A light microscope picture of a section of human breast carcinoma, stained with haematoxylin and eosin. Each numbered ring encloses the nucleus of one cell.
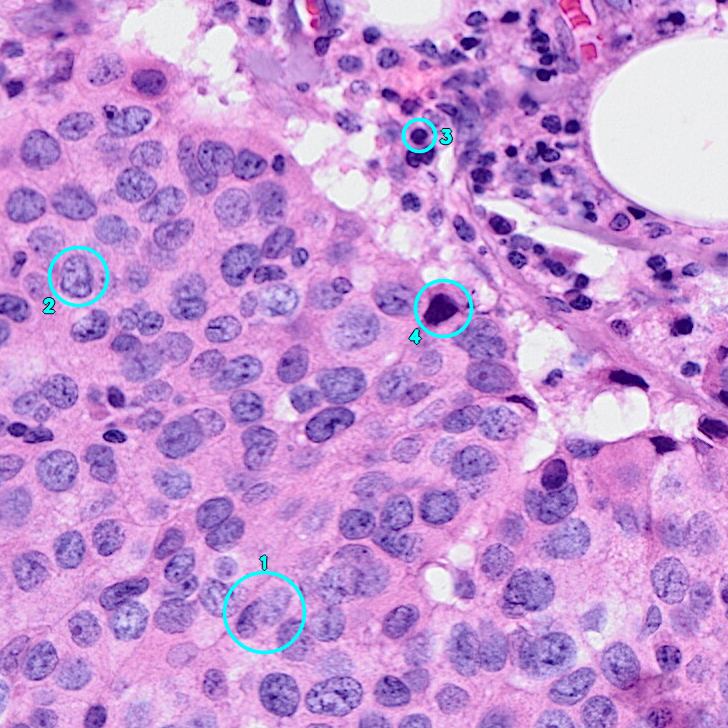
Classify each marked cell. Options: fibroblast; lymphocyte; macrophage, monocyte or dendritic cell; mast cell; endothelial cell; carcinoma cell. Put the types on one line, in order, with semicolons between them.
carcinoma cell; carcinoma cell; lymphocyte; carcinoma cell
